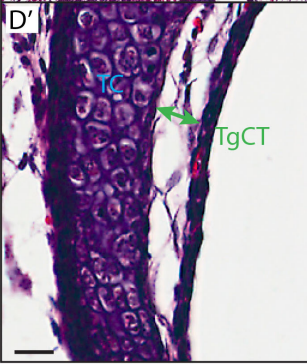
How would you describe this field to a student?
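This shows cartilage on the left, with rounded cells in lacunae in a dark purple matrix. Beside it runs only a thin, loose layer of connective tissue with few nuclei and pale spaces, and then a dark, narrow cellular lining.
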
